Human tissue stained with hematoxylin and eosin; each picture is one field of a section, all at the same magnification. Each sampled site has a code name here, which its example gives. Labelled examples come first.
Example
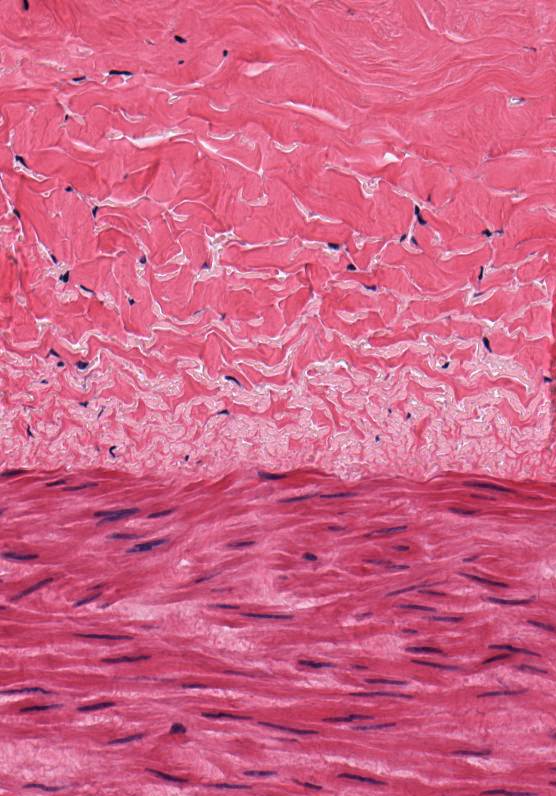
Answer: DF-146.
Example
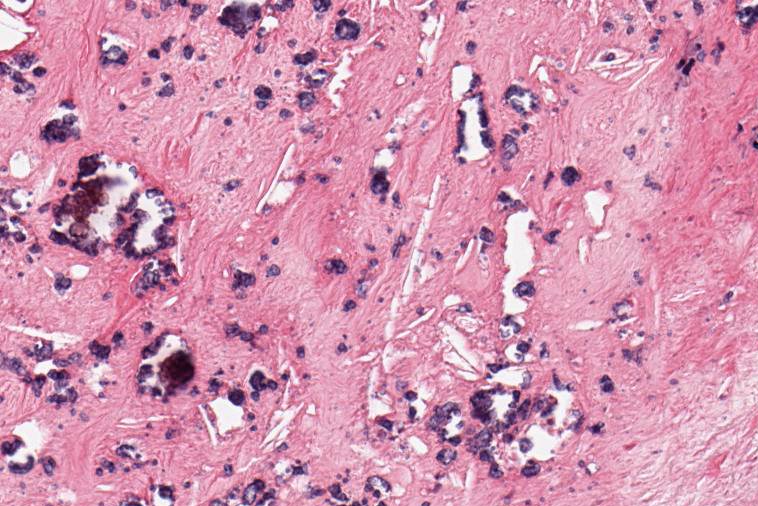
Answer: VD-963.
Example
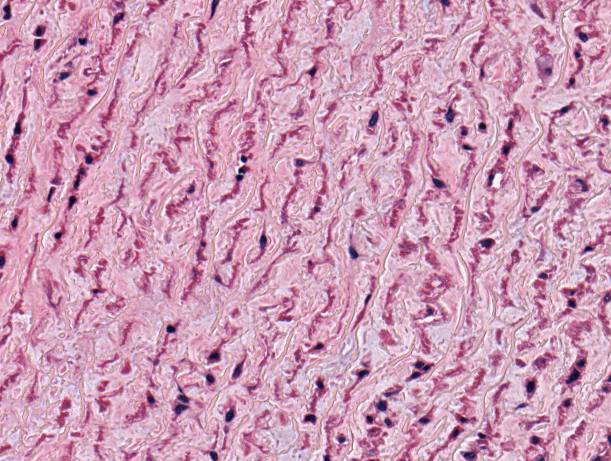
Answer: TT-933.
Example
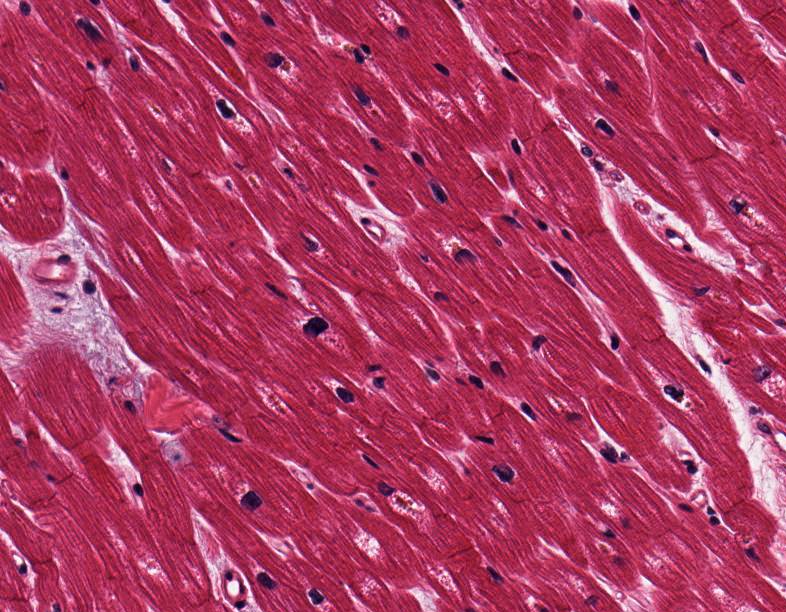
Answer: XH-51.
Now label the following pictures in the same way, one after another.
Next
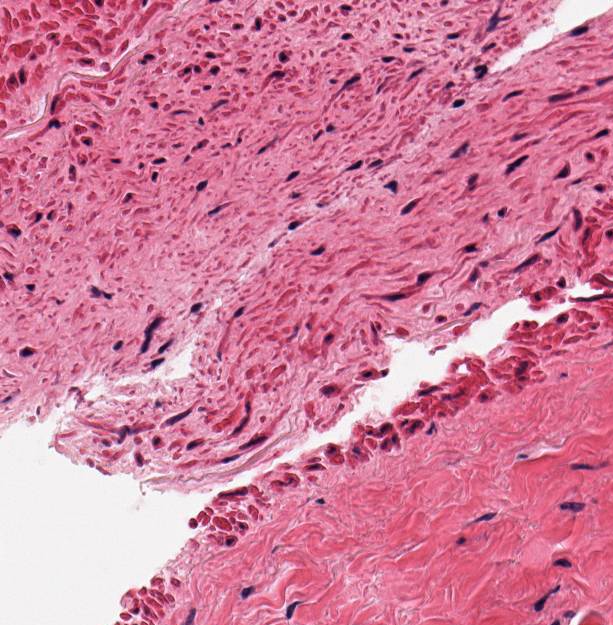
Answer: VD-963.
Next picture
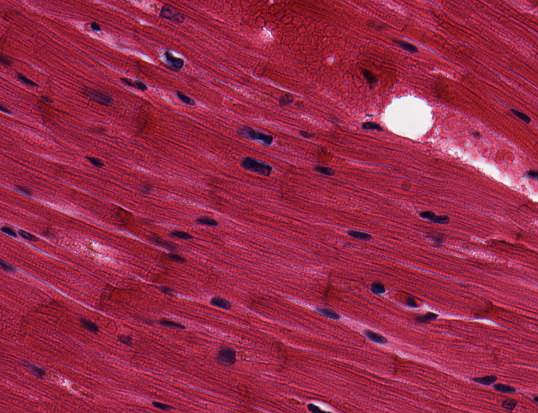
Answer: XH-51.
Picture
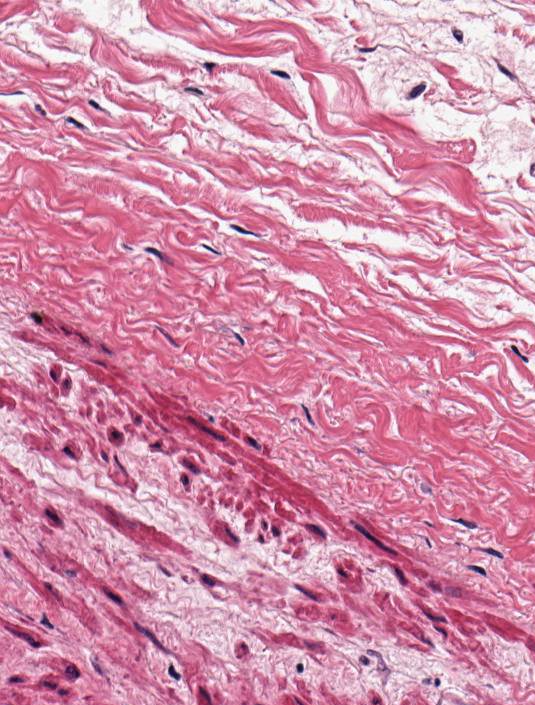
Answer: VD-963.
